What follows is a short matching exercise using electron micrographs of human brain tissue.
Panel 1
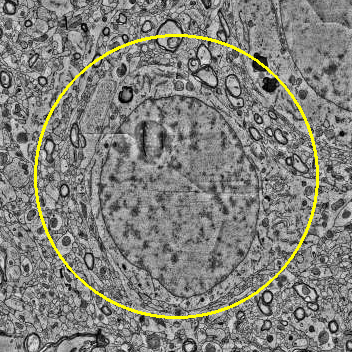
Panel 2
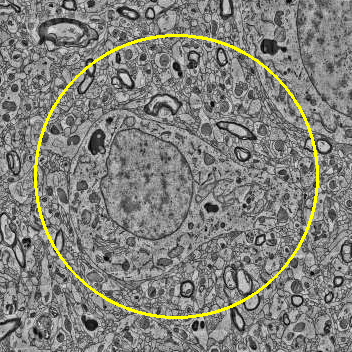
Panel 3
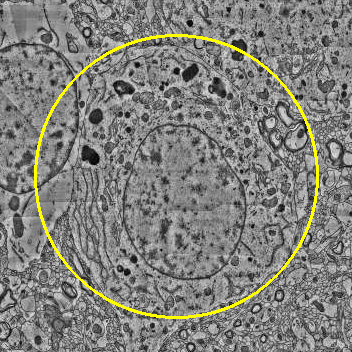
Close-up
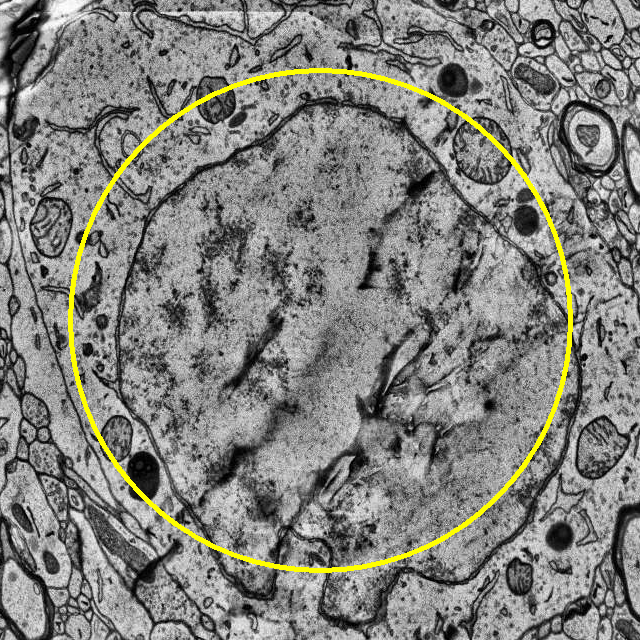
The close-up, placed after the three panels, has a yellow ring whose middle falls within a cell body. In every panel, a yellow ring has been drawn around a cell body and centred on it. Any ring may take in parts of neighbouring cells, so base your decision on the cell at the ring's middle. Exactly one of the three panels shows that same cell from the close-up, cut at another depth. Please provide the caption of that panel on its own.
Panel 1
